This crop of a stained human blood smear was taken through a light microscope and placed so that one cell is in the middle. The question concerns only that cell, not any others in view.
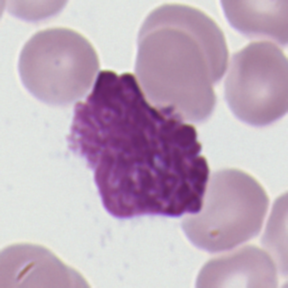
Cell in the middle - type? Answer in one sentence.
In this crop, the cell at the very middle is a smudge cell.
